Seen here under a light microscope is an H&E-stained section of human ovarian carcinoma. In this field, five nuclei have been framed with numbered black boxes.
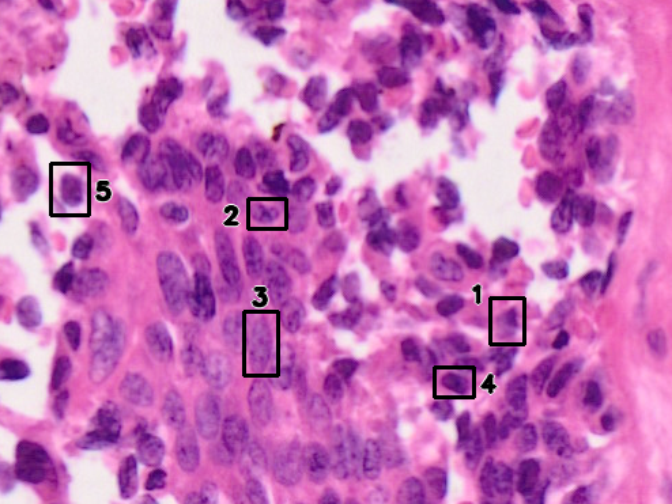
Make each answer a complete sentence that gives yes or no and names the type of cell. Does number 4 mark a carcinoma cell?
Yes, number 4 is assigned to a cell that is a carcinoma cell.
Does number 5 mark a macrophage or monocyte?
No, cell 5 is to be read as a carcinoma cell, not a macrophage or monocyte.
